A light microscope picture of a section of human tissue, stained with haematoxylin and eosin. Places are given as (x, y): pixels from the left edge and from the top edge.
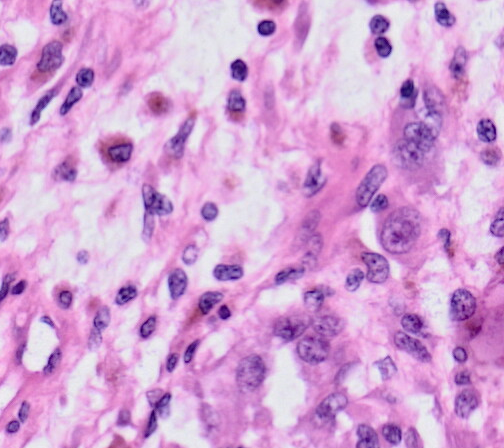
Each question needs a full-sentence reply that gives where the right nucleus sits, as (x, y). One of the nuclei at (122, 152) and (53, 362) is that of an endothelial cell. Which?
Of the two nuclei, the nucleus of an endothelial cell is at (53, 362).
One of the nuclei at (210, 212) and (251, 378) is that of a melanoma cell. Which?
The nucleus of a melanoma cell is the one at (251, 378).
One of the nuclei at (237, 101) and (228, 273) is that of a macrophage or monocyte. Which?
The nucleus at (237, 101) is contained in a macrophage or monocyte.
